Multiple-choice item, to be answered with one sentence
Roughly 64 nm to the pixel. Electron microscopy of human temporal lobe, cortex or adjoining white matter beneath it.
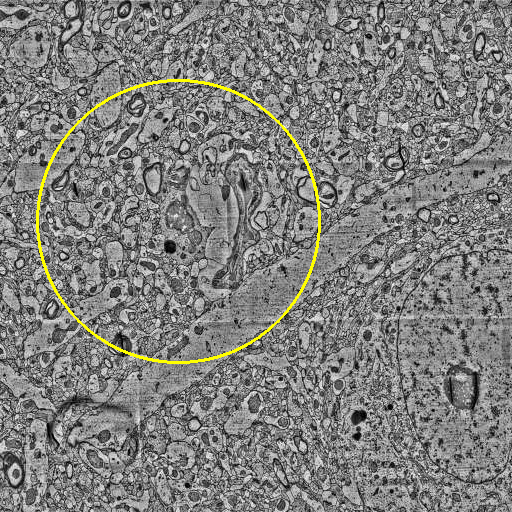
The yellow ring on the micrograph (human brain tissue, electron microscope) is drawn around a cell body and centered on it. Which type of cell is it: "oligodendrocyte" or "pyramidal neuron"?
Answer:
The ring is centered on an oligodendrocyte.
